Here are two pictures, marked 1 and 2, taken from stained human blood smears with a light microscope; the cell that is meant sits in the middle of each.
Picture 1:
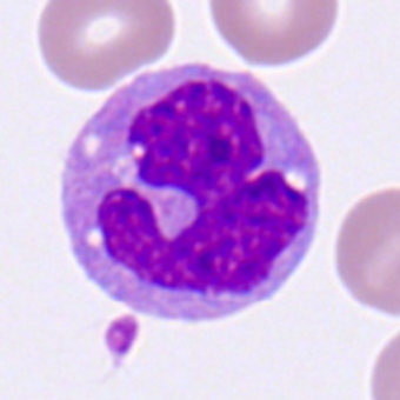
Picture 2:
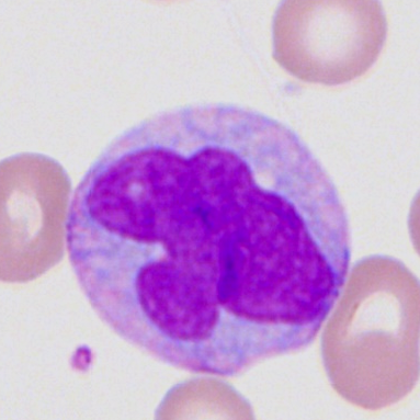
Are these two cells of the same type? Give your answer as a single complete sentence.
Yes, they are the same type: both are monocytes.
